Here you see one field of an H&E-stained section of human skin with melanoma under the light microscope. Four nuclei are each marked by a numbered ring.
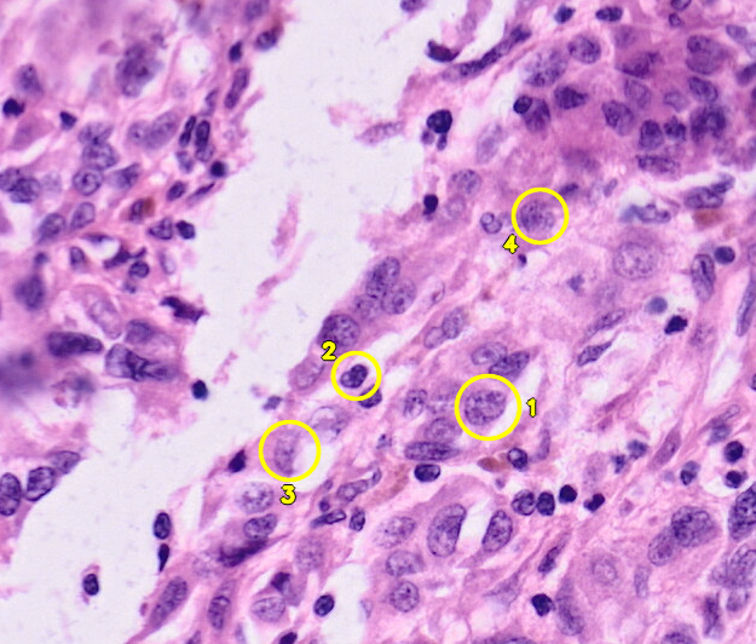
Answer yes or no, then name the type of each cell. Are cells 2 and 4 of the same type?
No: cell 2 is a lymphocyte, while cell 4 is a melanoma cell.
